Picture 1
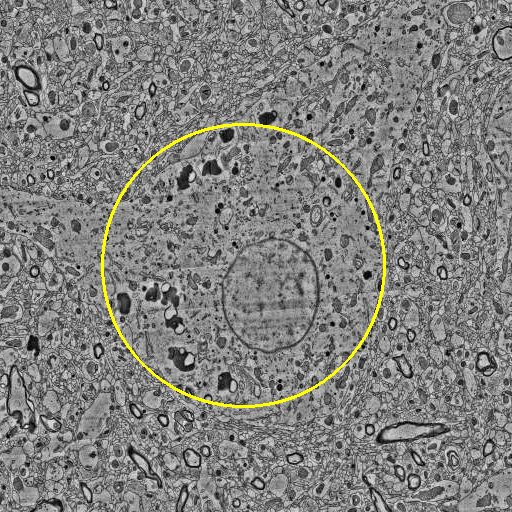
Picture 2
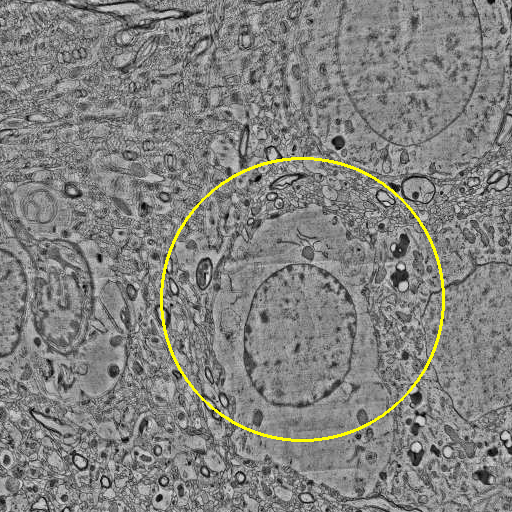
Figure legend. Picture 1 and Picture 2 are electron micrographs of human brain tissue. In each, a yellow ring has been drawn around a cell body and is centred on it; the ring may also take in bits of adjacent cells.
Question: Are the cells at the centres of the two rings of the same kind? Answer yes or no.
no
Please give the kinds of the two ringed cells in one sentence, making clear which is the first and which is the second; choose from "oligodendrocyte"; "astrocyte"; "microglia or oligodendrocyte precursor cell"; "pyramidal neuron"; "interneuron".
In the second picture the ringed cell is an astrocyte; in the first it is a pyramidal neuron.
